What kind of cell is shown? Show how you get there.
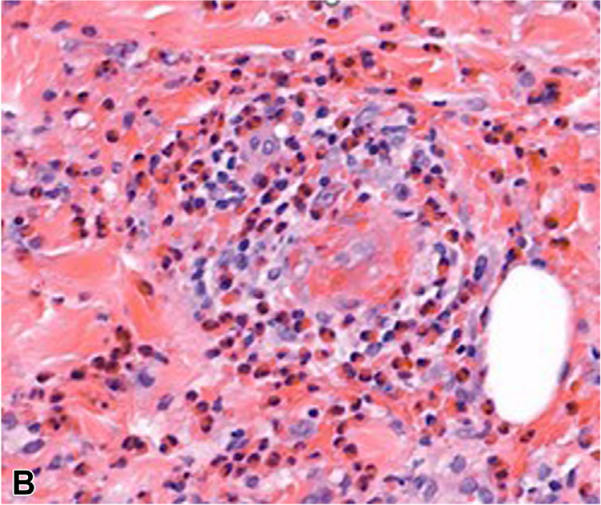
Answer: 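Eosinophils. Many cells have bright orange-red granular cytoplasm. These cells have small, often bilobed nuclei. They are scattered densely around a small vessel and through the surrounding collagen.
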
